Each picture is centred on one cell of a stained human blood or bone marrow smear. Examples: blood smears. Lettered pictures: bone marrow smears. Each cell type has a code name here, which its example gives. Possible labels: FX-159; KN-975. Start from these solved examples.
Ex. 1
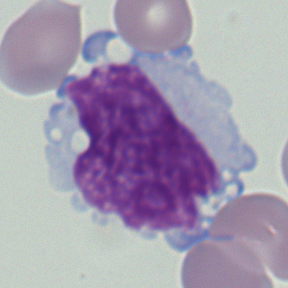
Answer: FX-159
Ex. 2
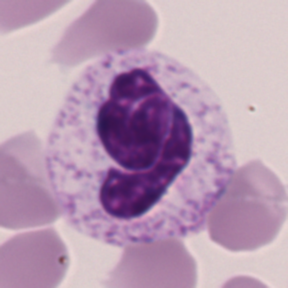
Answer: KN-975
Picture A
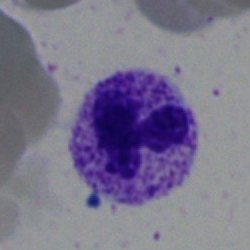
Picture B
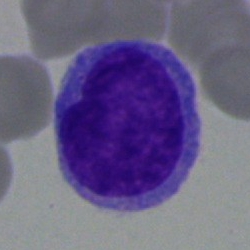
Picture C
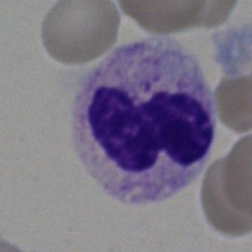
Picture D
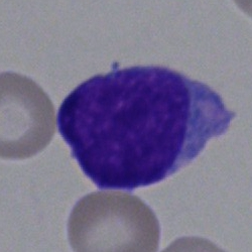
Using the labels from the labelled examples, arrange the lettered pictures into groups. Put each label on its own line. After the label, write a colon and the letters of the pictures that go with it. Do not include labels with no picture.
FX-159: B, D
KN-975: A, C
